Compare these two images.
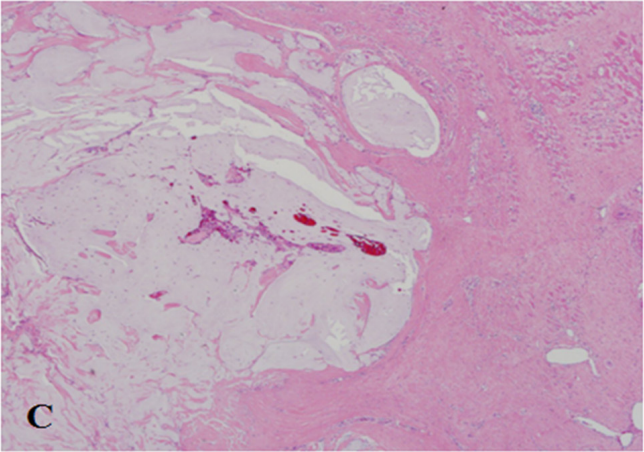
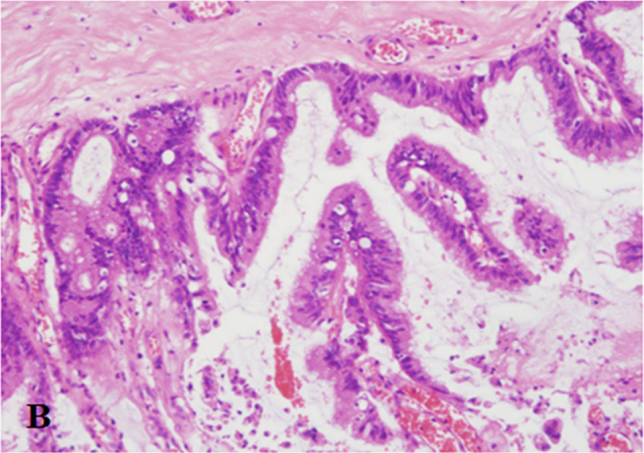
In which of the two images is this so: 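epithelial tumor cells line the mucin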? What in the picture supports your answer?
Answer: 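First image: pools of pale mucin with no lining epithelium. Second image: strips of columnar epithelial cells border the mucin.
Conclusion: the second image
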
